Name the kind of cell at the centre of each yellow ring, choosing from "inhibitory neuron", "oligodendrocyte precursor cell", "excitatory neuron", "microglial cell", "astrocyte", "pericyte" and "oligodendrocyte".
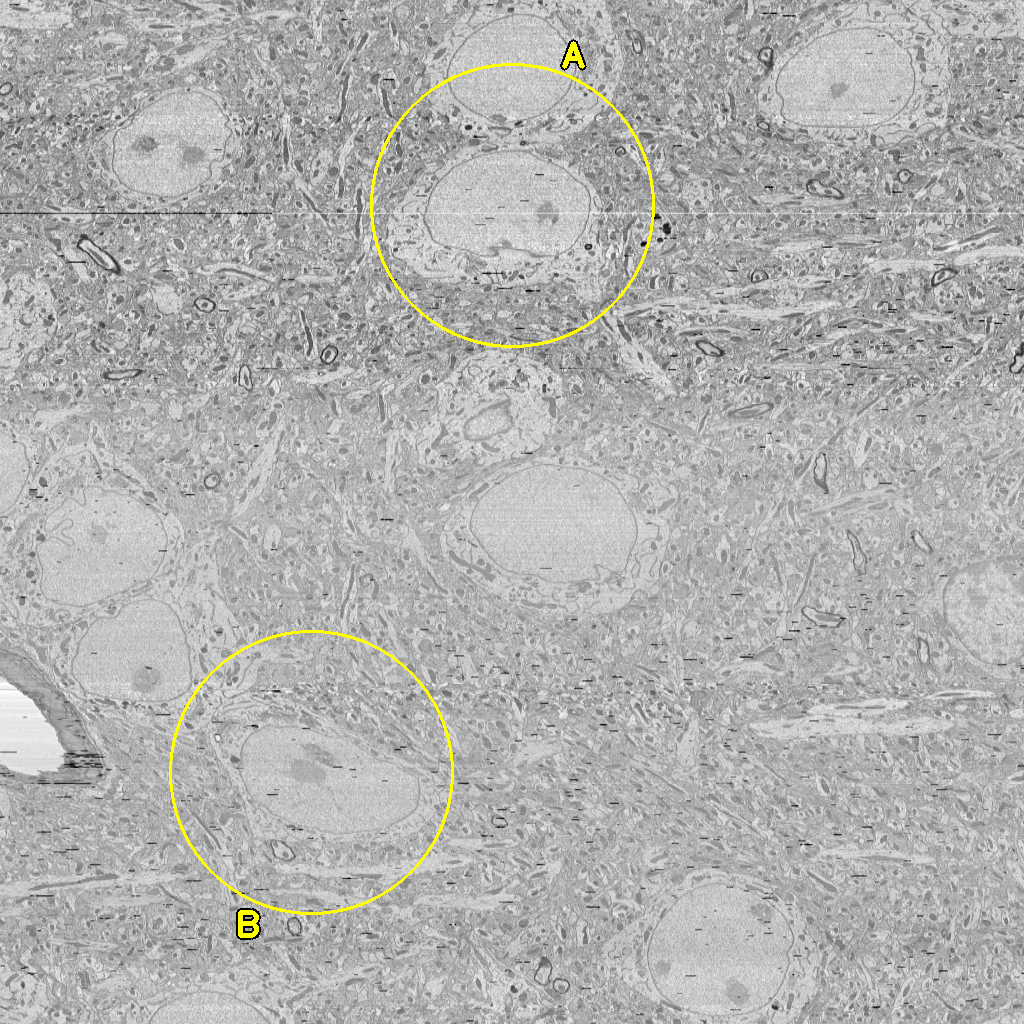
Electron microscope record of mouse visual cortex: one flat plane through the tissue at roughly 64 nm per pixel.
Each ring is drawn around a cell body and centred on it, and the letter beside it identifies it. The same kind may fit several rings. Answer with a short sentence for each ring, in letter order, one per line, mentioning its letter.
Ring A is drawn around an excitatory neuron.
Ring B is drawn around an inhibitory neuron.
